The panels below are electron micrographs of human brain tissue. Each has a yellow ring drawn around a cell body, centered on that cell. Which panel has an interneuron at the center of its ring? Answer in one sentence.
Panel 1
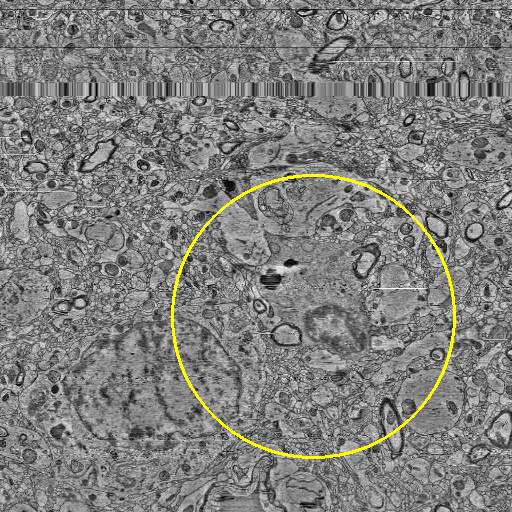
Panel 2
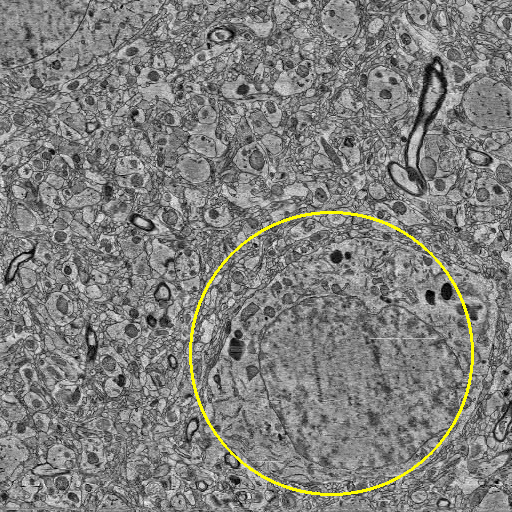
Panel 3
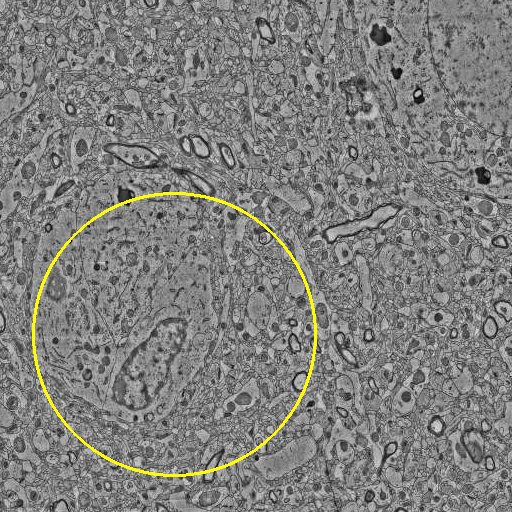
Panel 2 has it at the center of its ring.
